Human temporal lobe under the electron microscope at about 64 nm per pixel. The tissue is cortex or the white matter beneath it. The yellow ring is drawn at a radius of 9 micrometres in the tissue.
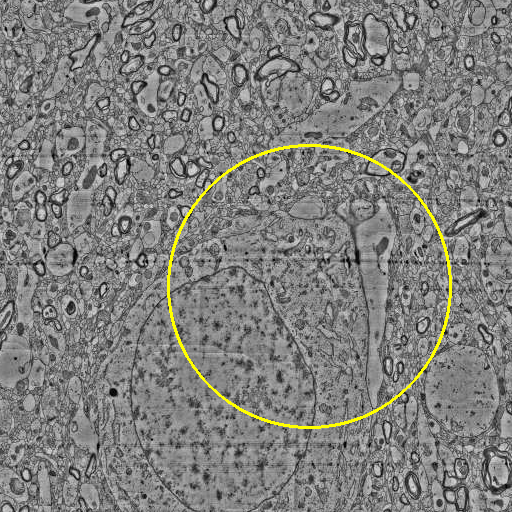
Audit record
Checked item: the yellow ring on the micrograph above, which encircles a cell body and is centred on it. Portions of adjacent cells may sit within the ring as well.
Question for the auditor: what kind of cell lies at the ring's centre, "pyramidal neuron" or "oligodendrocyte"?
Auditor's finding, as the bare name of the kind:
oligodendrocyte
